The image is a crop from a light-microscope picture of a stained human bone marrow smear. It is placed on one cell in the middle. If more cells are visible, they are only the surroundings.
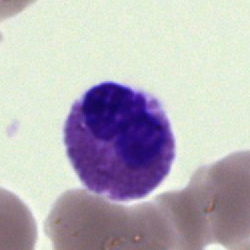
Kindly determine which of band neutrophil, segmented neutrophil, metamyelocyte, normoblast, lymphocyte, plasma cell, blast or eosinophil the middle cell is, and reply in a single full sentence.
As for the central cell, it is an eosinophil.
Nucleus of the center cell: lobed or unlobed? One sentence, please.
One defining trait here is a nucleus of two or more segments.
